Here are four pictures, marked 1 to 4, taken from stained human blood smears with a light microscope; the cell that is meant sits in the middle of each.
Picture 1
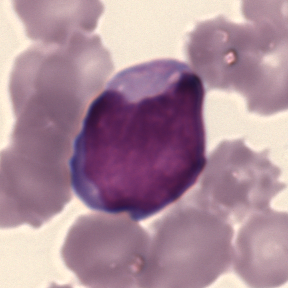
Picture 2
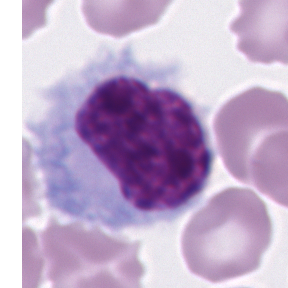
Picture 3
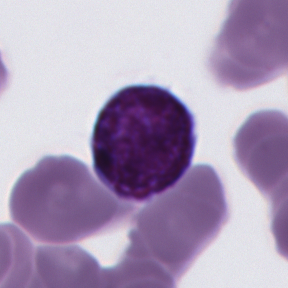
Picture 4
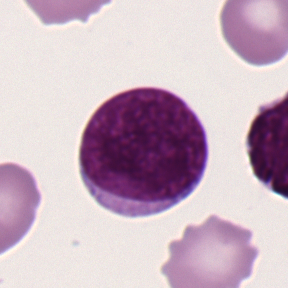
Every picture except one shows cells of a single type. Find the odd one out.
2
